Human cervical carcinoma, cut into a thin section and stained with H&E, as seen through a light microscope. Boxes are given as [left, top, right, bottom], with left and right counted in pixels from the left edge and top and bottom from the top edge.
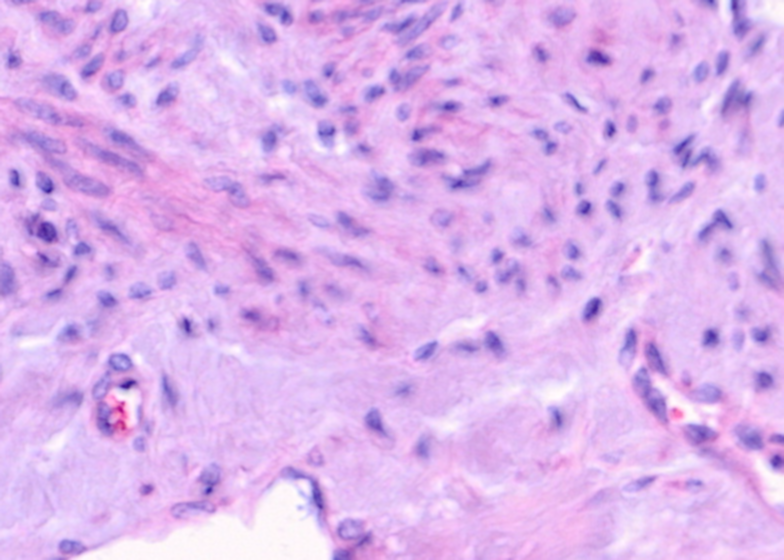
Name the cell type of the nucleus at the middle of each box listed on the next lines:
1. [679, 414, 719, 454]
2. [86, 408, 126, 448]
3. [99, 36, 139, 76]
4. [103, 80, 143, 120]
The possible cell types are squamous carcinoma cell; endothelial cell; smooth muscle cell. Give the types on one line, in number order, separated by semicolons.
endothelial cell; endothelial cell; smooth muscle cell; smooth muscle cell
